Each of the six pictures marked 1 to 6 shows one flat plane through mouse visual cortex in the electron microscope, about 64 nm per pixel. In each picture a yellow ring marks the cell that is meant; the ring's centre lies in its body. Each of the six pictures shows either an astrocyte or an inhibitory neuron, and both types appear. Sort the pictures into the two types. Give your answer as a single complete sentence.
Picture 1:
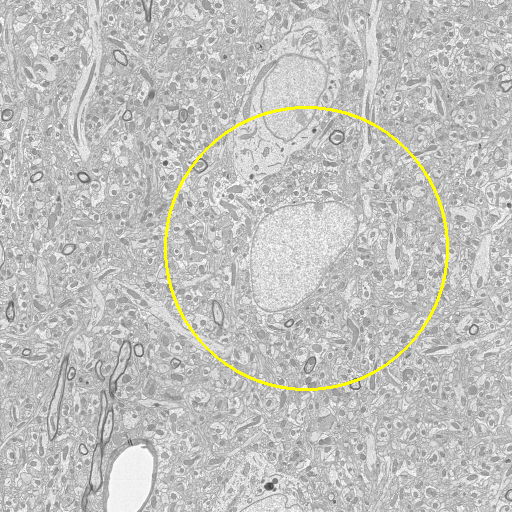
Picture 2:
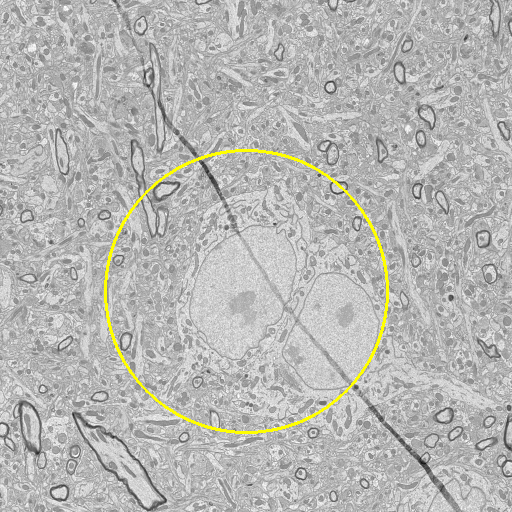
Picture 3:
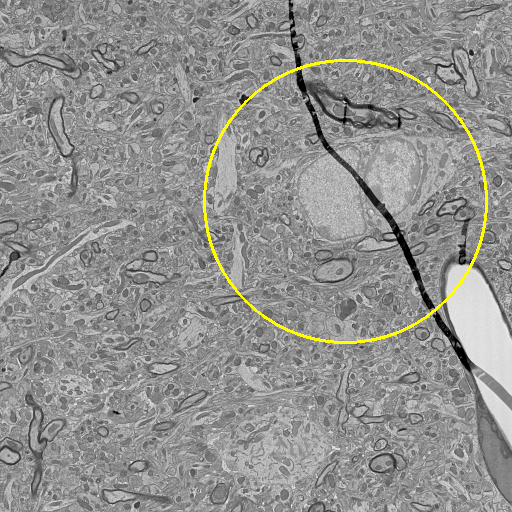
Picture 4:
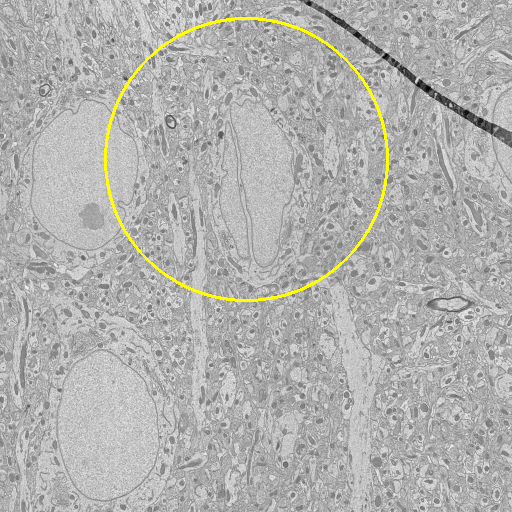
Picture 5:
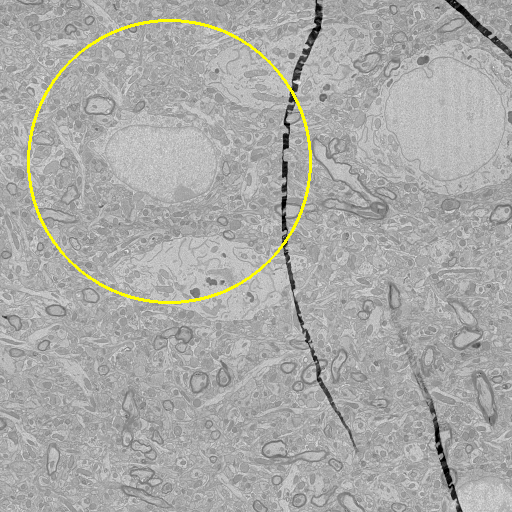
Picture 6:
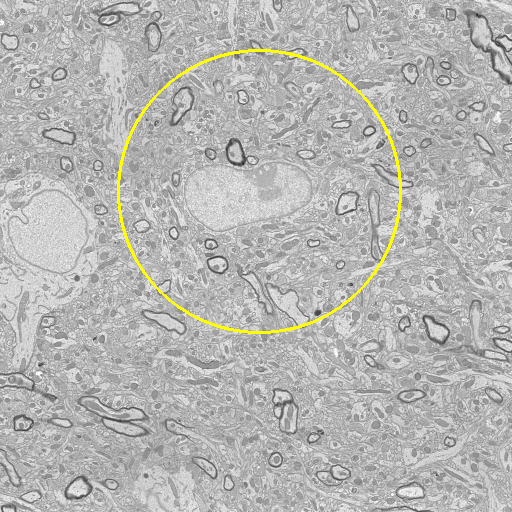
Pictures 1, 3, 5 and 6 show astrocytes; pictures 2 and 4 show inhibitory neurons.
